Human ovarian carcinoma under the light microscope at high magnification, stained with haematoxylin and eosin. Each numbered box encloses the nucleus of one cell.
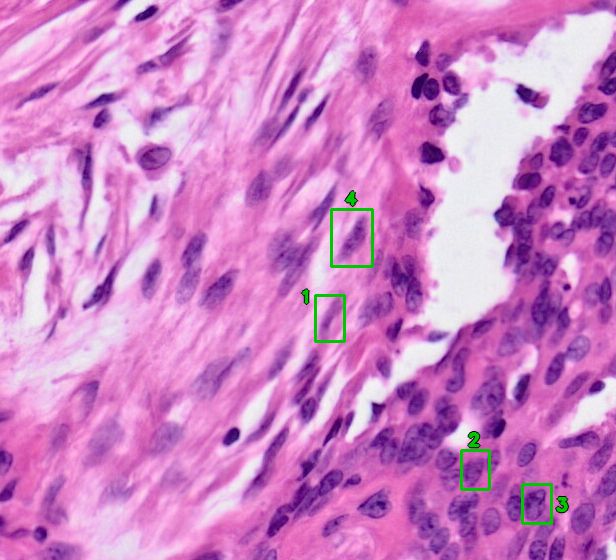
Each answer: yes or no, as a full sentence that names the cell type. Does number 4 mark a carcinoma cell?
No, cell 4 is not a carcinoma cell. It is a fibroblast.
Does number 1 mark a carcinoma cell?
No, it is a fibroblast that is marked with number 1, not a carcinoma cell.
